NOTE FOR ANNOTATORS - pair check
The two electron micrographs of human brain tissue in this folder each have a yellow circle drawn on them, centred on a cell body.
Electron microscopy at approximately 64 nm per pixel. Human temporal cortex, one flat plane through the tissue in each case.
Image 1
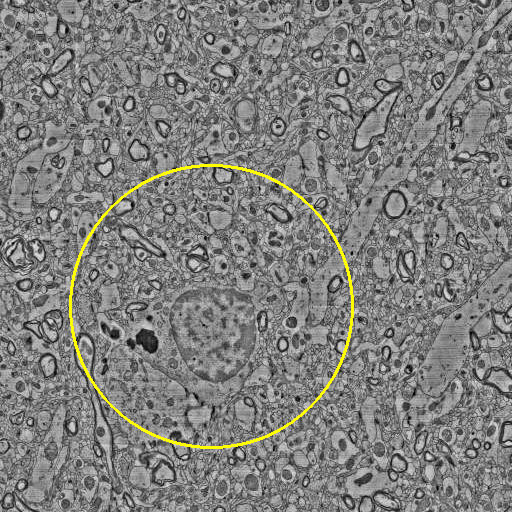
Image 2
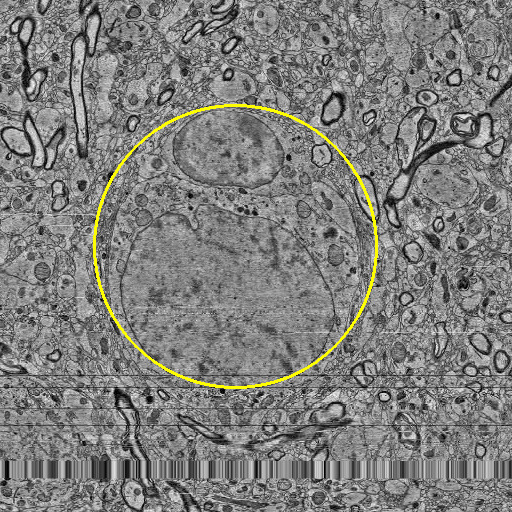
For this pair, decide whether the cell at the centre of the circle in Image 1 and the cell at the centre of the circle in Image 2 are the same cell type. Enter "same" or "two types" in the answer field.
two types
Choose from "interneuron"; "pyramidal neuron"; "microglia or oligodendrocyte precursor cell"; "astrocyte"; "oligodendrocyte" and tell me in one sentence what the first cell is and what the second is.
What the first ring is centred on is an oligodendrocyte; what the second ring is centred on is a pyramidal neuron.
